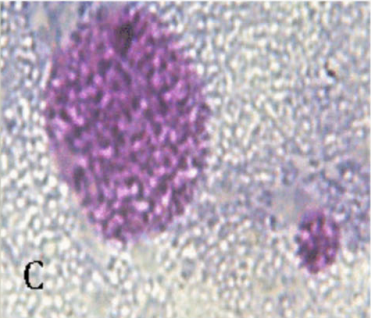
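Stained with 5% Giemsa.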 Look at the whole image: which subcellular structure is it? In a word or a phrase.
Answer: Micronucleus.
